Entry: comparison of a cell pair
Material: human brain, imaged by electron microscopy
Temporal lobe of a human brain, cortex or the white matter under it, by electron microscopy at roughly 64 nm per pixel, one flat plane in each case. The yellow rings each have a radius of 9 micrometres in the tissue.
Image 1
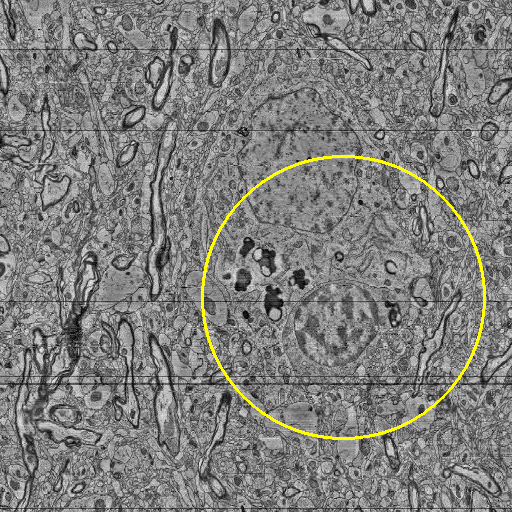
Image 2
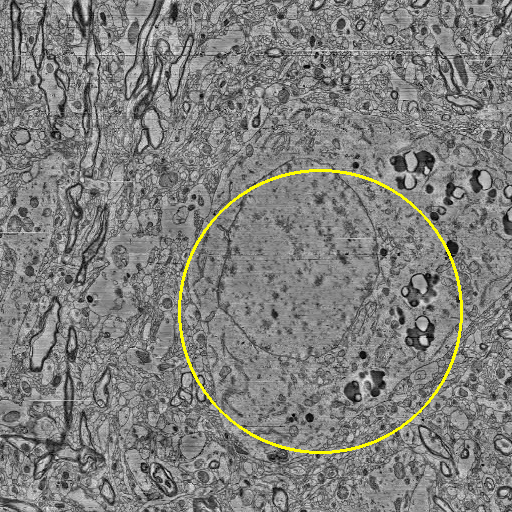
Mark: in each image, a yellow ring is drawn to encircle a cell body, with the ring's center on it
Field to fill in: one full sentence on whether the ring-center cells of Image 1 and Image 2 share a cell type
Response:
No, Image 1 and Image 2 show ring-center cells of two separate types.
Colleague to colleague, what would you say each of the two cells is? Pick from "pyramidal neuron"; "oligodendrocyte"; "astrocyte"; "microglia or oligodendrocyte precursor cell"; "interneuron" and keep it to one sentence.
The cell in the first picture is an oligodendrocyte; the second picture's cell is a pyramidal neuron.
